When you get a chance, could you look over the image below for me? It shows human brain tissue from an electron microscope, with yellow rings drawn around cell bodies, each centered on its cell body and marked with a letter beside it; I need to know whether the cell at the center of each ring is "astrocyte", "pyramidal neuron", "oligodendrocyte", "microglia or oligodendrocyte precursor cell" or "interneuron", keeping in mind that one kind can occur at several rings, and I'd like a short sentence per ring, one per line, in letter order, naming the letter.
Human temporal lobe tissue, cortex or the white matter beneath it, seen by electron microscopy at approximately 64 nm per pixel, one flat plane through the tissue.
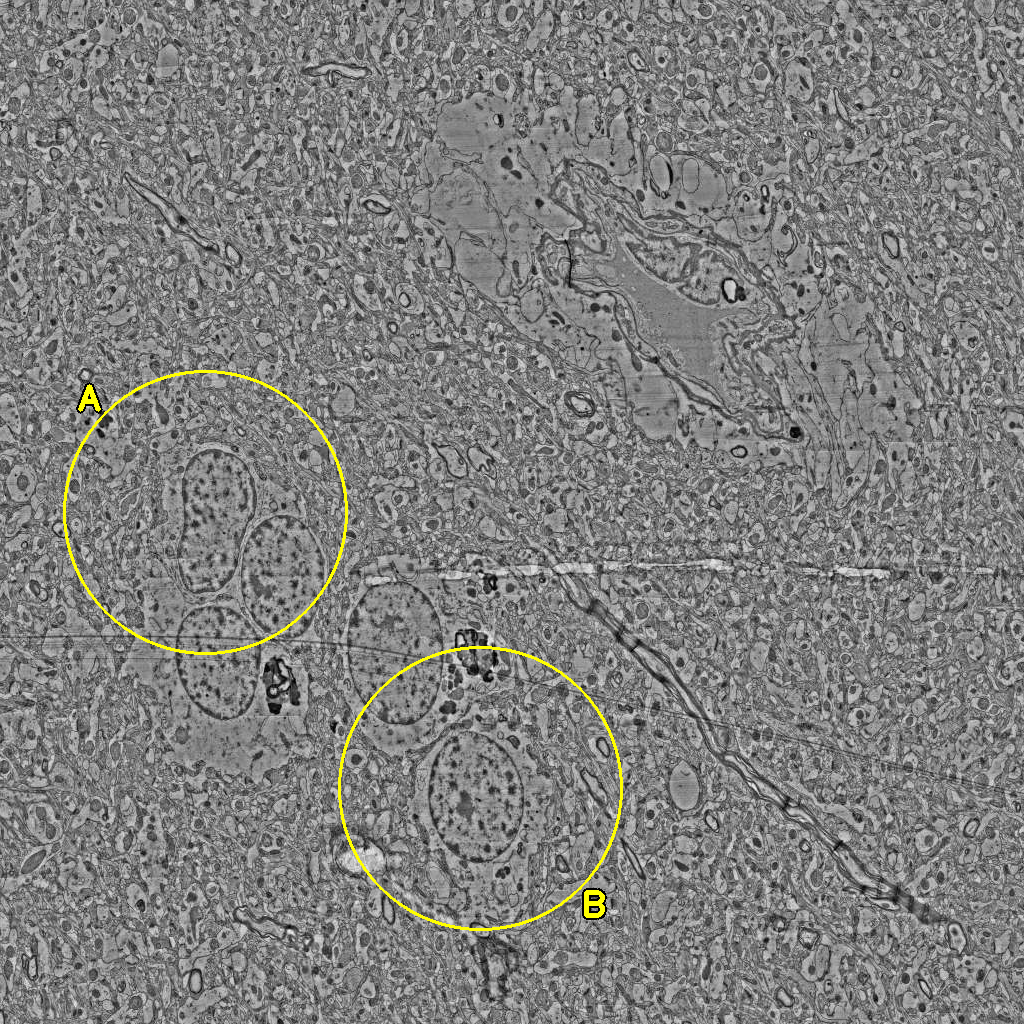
Ring A is centered on a microglial cell or oligodendrocyte precursor cell.
Ring B is centered on an astrocyte.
